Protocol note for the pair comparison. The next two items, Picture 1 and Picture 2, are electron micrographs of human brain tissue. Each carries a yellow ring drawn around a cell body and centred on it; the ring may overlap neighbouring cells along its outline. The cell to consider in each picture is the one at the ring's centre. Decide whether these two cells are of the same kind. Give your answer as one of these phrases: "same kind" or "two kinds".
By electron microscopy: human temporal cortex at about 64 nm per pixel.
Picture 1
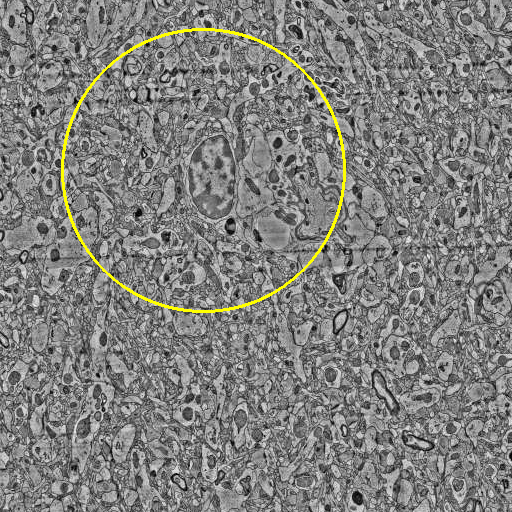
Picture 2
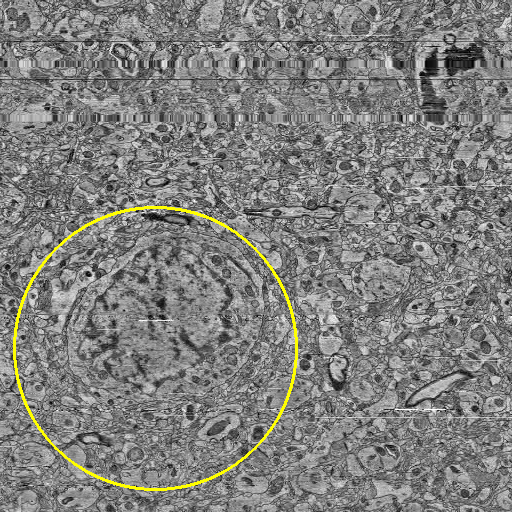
two kinds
